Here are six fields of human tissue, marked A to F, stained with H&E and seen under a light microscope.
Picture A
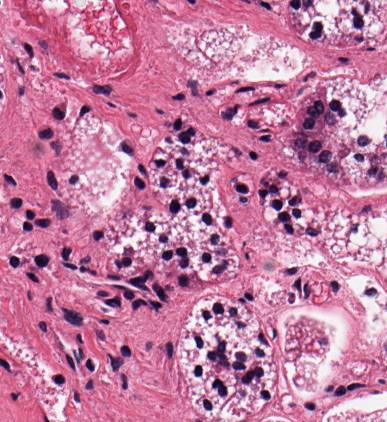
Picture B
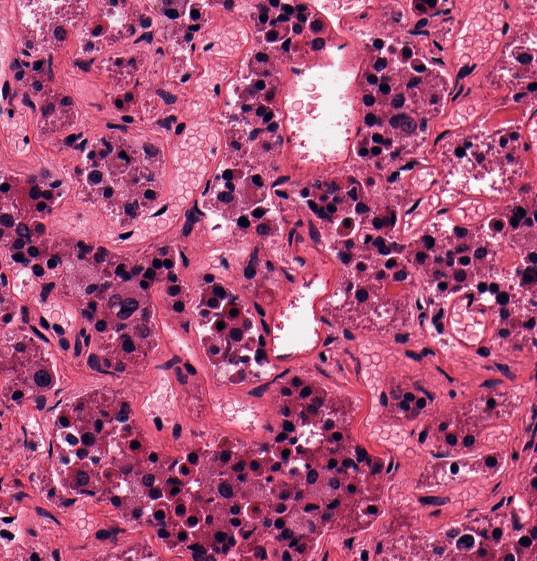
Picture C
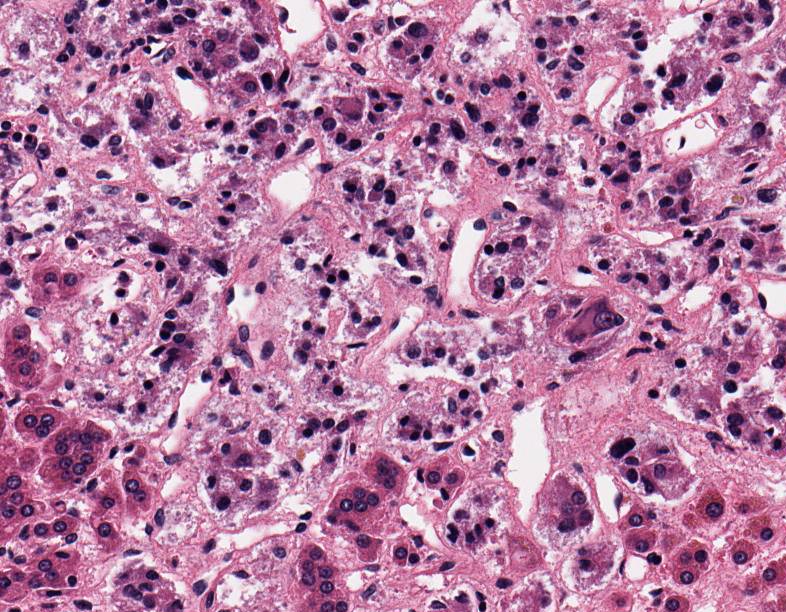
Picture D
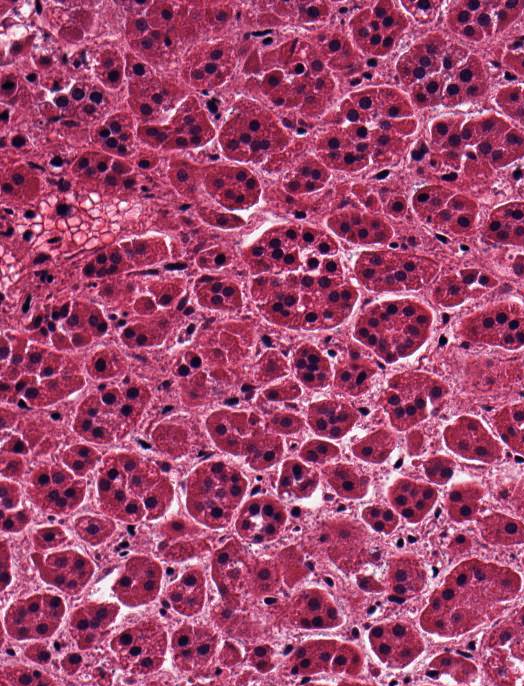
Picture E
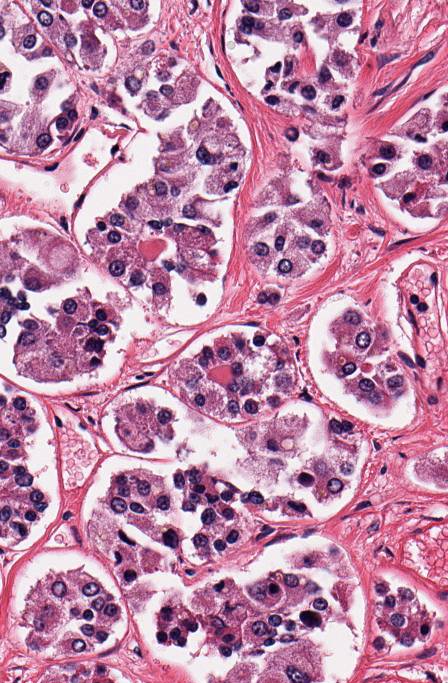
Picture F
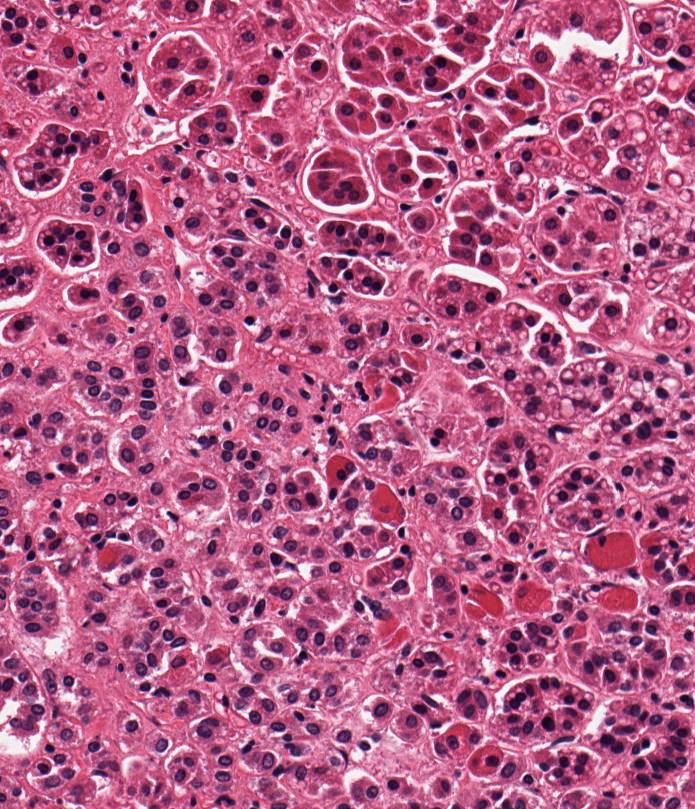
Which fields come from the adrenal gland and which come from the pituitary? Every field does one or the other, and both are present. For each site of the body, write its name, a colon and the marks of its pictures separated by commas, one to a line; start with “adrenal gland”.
adrenal gland: A, C, D, F
pituitary: B, E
